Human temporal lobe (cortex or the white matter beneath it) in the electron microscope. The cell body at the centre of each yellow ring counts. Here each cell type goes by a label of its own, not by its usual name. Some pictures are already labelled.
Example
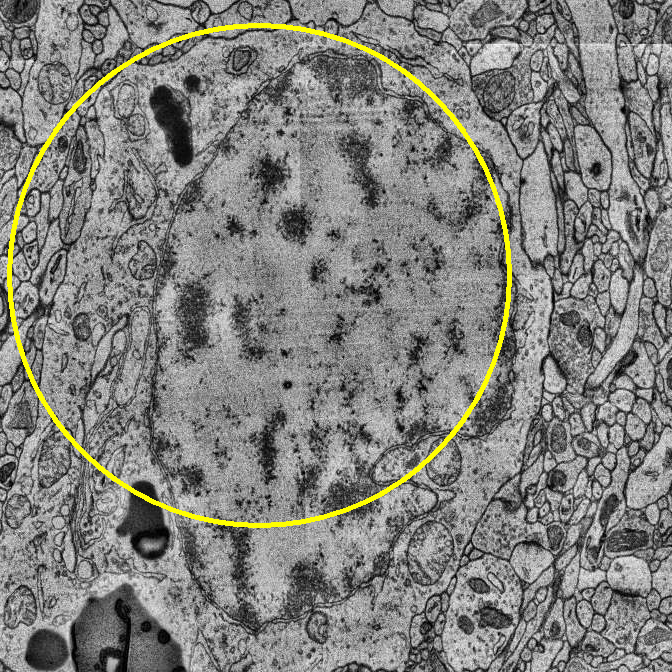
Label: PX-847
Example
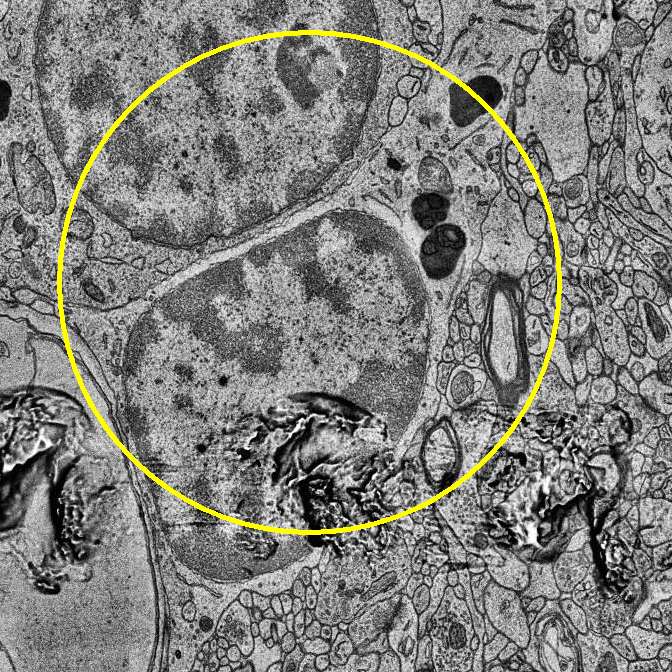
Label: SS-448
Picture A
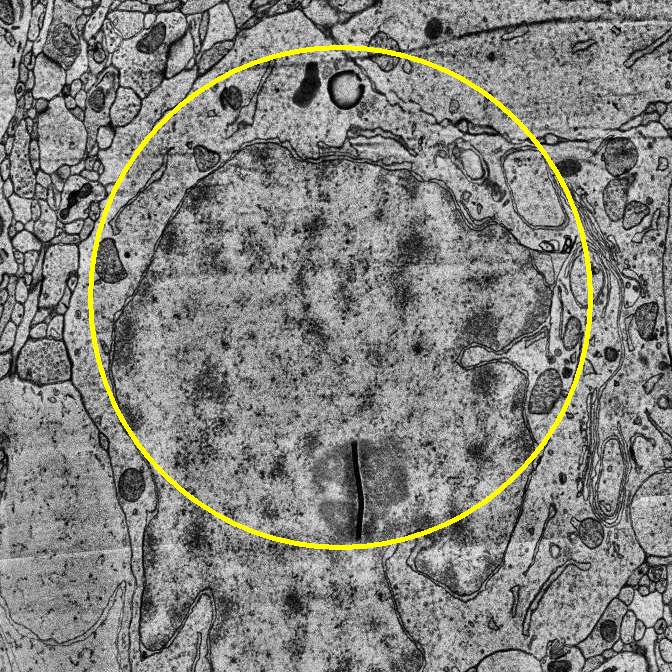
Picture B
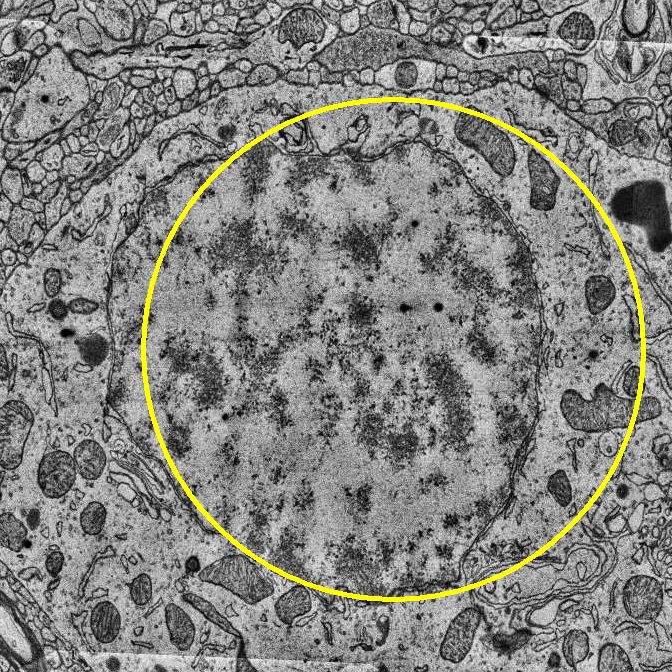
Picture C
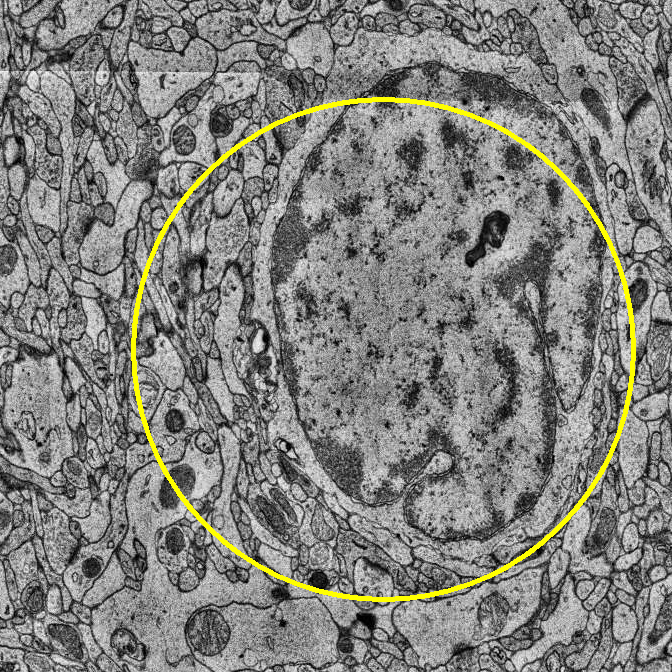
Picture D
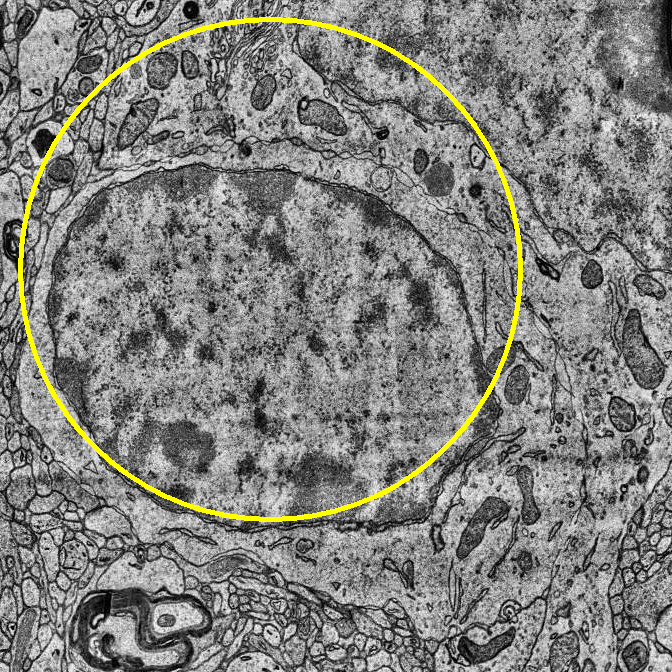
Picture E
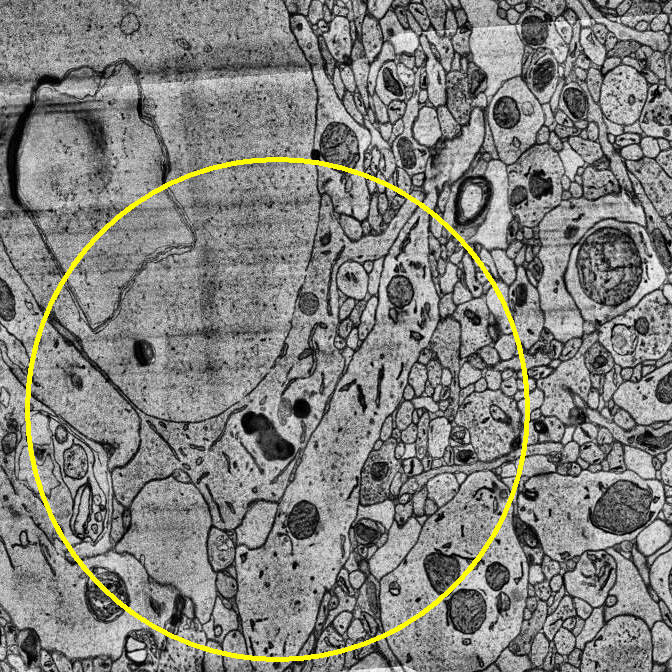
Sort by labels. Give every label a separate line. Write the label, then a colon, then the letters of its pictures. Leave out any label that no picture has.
PX-847: A, B
SS-448: C, D, E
